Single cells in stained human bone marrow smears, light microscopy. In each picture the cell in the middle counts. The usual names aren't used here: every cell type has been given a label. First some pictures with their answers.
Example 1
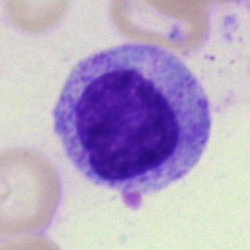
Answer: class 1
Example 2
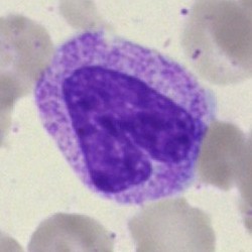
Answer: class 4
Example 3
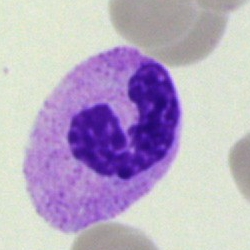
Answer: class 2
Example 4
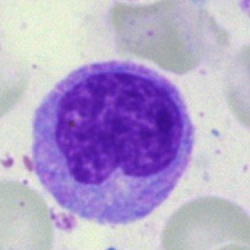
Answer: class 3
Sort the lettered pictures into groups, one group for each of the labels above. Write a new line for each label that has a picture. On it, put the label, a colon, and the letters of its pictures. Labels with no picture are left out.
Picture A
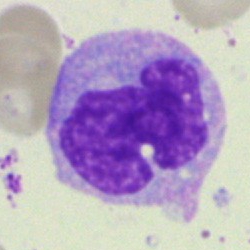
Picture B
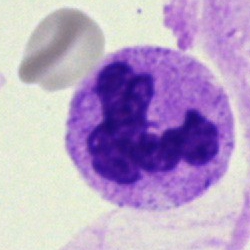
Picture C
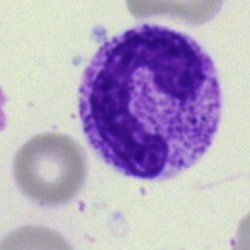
class 4: C
class 2: B
class 3: A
